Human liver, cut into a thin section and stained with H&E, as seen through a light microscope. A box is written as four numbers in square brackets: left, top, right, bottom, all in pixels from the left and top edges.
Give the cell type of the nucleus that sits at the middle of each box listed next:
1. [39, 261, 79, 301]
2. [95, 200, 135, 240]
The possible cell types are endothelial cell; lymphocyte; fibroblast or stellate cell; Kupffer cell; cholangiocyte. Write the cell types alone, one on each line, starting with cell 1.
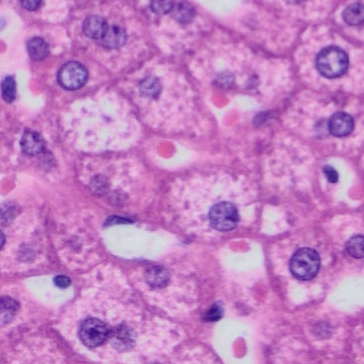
lymphocyte
endothelial cell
